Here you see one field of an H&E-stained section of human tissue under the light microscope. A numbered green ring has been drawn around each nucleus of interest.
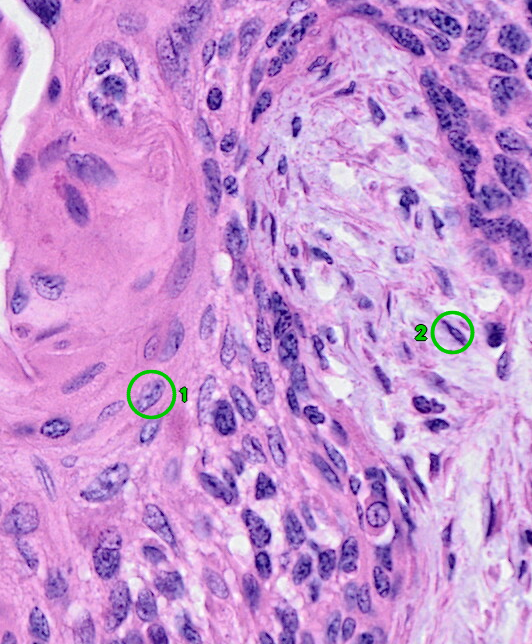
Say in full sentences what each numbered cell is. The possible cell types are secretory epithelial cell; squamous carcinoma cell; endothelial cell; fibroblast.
Cell 1 is a squamous carcinoma cell. Cell 2 is a fibroblast.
